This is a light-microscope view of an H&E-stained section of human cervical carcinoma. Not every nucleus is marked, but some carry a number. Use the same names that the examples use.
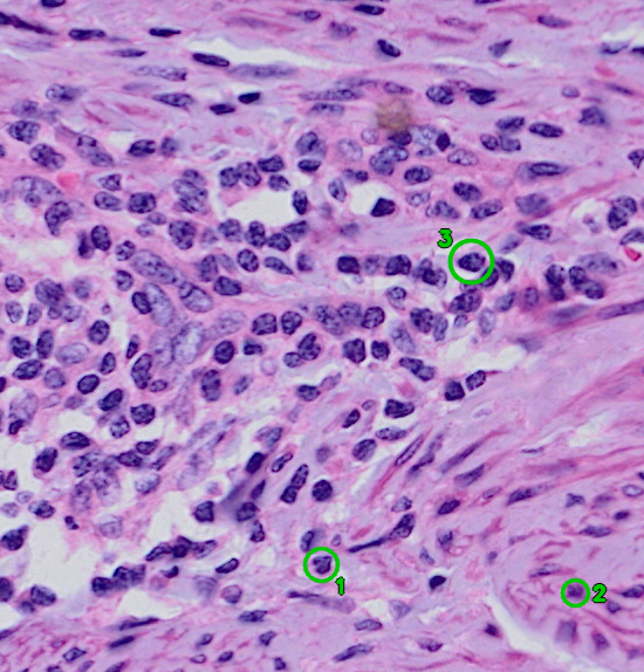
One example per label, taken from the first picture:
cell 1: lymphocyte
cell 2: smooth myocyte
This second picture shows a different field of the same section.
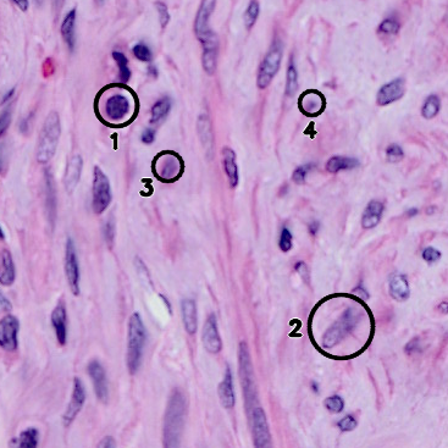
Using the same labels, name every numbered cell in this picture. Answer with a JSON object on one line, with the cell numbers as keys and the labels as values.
{"1": "lymphocyte", "2": "smooth myocyte", "3": "smooth myocyte", "4": "smooth myocyte"}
